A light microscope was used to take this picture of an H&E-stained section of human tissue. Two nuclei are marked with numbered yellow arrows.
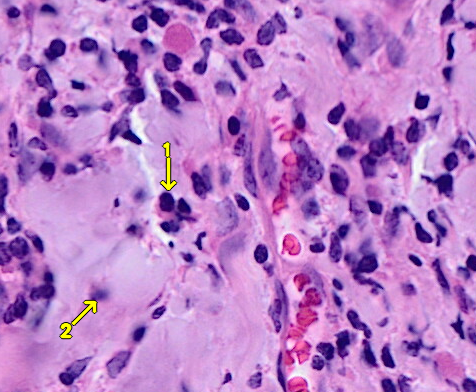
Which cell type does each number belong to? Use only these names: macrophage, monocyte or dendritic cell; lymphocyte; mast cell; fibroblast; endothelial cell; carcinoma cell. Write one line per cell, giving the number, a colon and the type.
1: lymphocyte
2: mast cell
